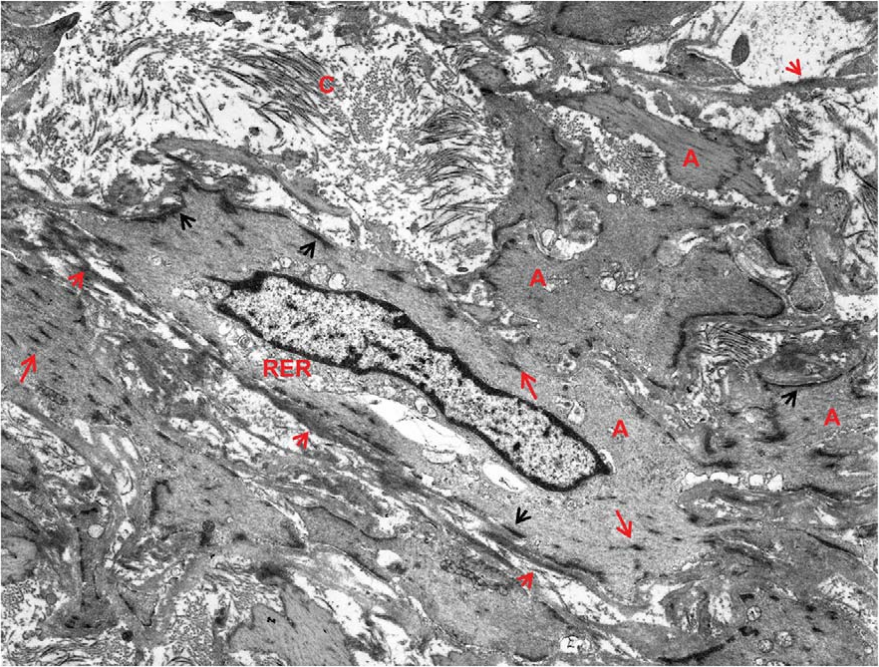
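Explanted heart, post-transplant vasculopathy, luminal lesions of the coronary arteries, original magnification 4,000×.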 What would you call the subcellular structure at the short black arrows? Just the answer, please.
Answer: Dense plaques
